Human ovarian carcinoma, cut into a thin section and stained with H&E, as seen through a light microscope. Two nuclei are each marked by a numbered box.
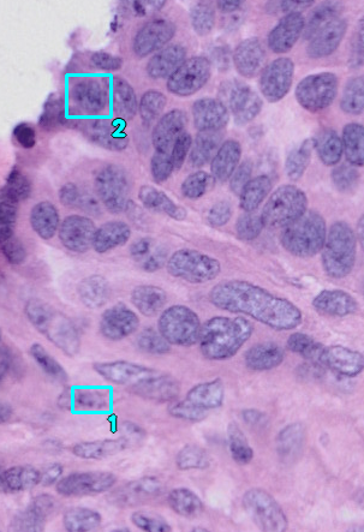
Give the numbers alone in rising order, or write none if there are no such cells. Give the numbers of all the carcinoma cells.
2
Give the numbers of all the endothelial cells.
none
